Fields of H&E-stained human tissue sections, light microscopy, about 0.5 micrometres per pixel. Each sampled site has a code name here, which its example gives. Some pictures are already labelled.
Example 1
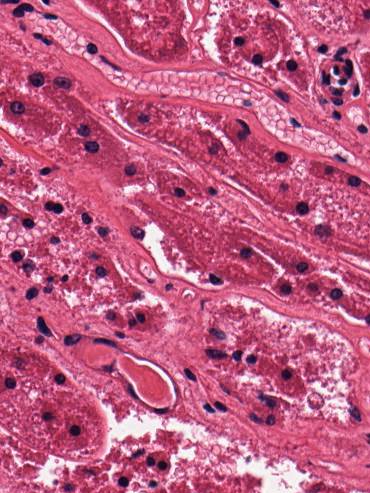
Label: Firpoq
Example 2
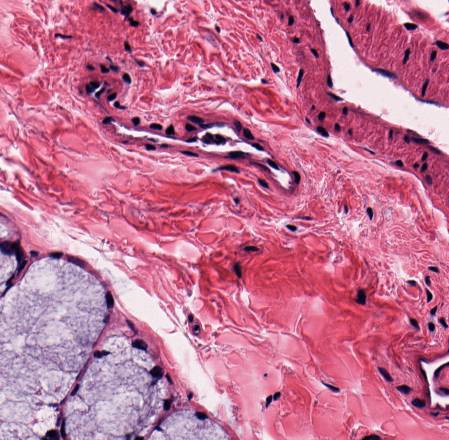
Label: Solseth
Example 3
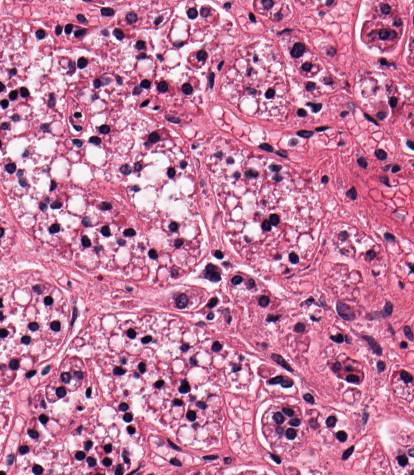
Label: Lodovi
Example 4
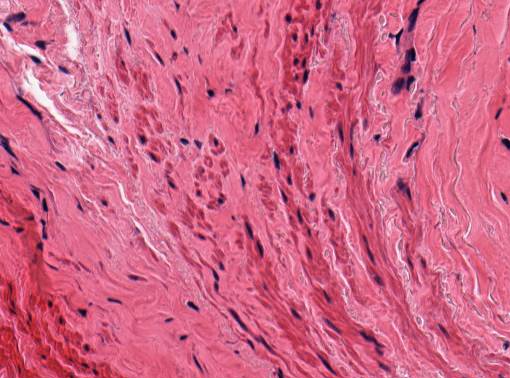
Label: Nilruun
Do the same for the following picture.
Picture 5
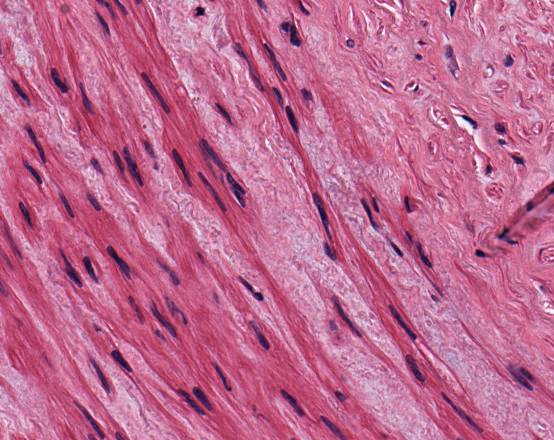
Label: Nilruun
